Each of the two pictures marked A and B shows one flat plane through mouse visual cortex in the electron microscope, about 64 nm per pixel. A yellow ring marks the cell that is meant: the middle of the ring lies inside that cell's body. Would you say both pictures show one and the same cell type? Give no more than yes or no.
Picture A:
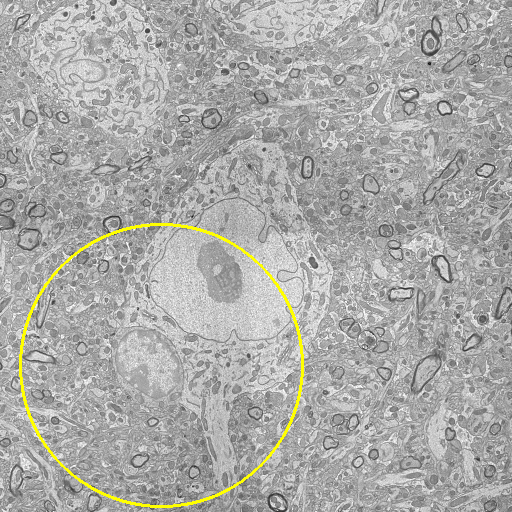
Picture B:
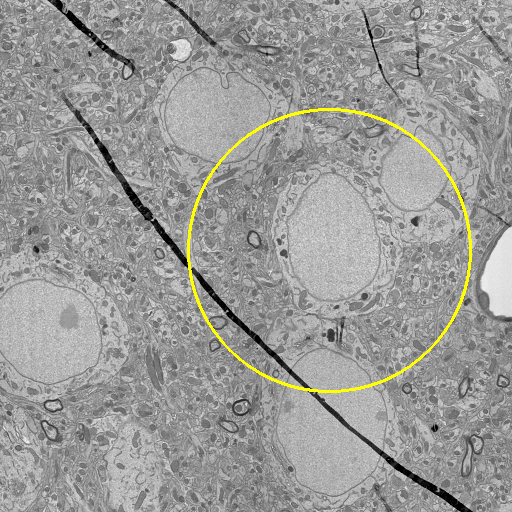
no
